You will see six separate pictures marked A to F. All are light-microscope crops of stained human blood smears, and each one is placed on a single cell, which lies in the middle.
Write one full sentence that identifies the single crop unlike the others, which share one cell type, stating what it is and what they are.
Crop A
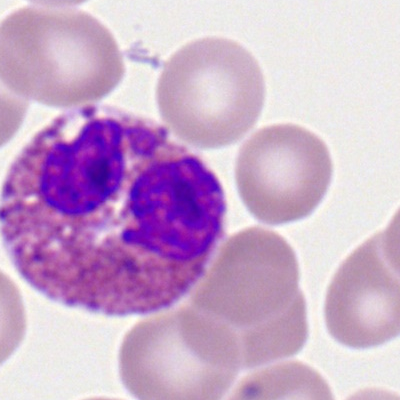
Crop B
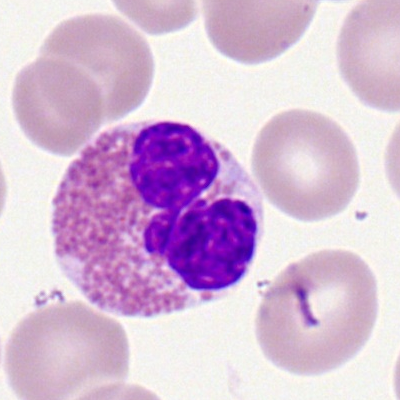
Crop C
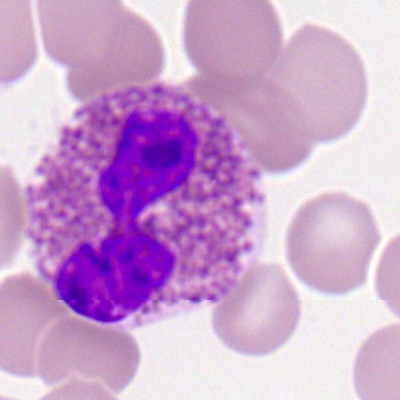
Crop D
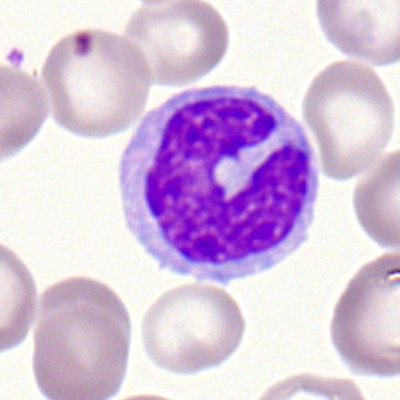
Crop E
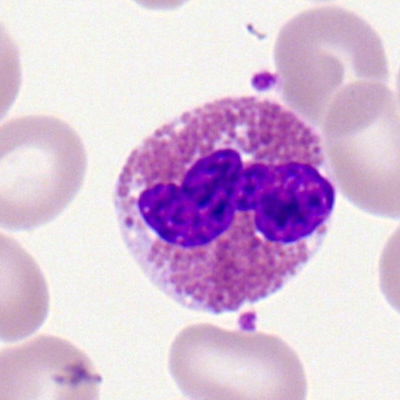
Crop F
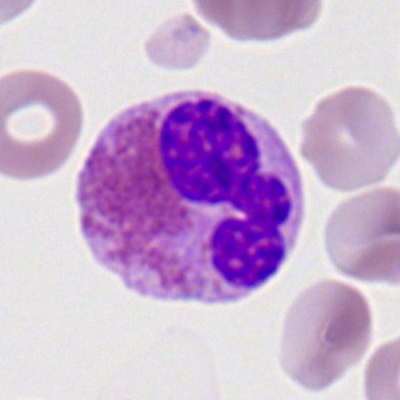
The others are all eosinophils; crop D is a monocyte.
